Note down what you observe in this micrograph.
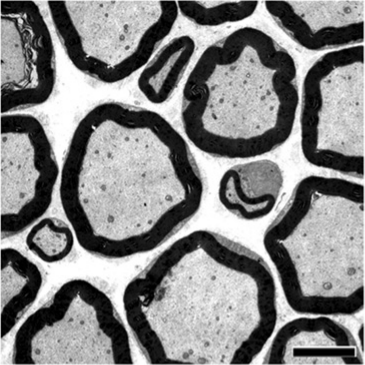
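This electron micrograph shows a cross-section of a peripheral nerve with large myelinated fibers whose axons are wrapped in thick, uniformly dark myelin sheaths. The axoplasm is pale and finely granular, and a few smaller fibers lie between the large ones in a light endoneurial space.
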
